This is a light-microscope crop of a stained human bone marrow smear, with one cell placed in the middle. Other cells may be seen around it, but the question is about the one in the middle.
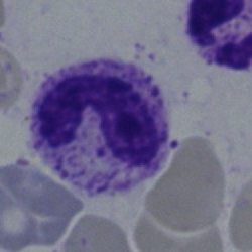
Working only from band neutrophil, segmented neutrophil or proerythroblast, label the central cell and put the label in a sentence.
The cell centered in this field of view is a band neutrophil.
